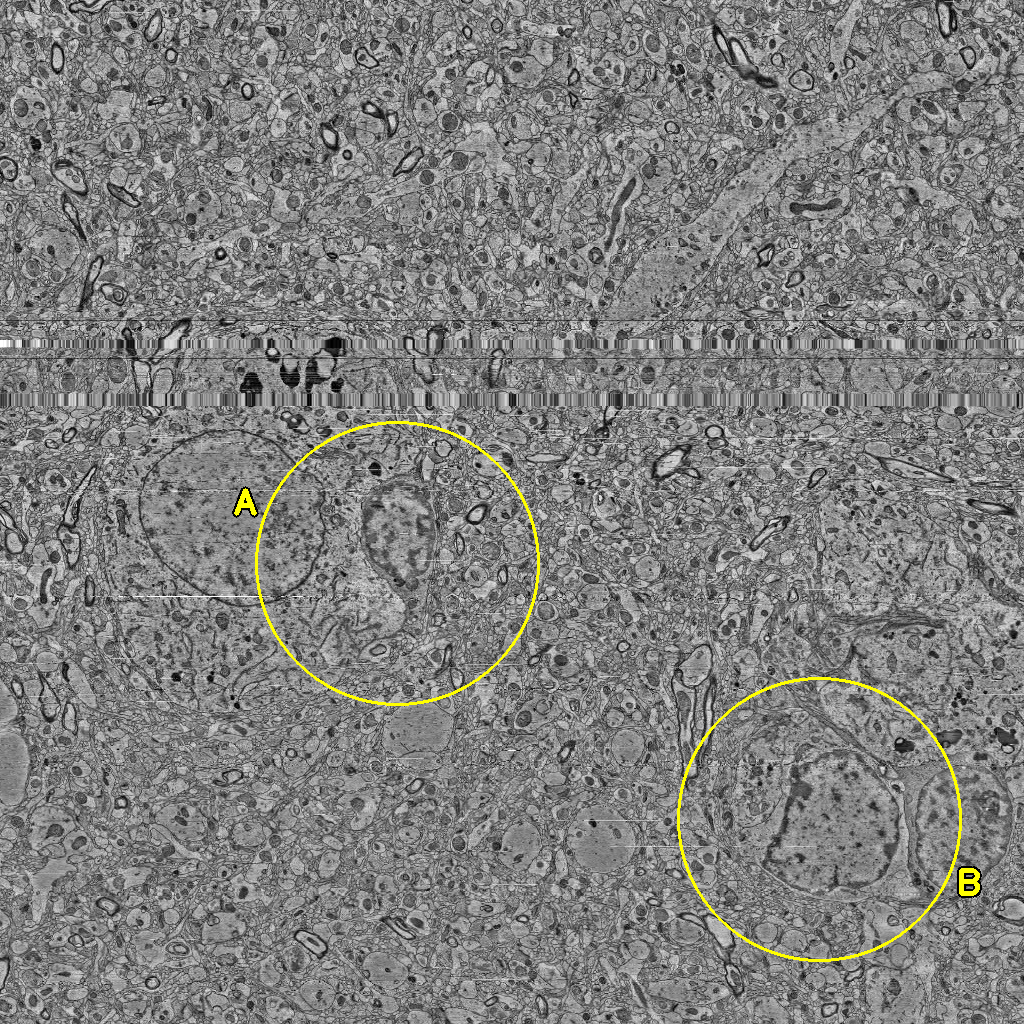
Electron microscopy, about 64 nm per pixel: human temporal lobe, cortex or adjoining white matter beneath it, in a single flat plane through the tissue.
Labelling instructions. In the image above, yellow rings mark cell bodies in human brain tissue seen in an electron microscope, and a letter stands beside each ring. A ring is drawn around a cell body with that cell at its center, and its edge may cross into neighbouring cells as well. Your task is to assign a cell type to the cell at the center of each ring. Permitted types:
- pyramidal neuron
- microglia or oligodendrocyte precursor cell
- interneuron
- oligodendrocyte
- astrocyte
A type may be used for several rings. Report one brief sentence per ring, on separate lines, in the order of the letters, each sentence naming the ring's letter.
The cell at the center of ring A is an oligodendrocyte.
The cell at the center of ring B is a microglial cell or oligodendrocyte precursor cell.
